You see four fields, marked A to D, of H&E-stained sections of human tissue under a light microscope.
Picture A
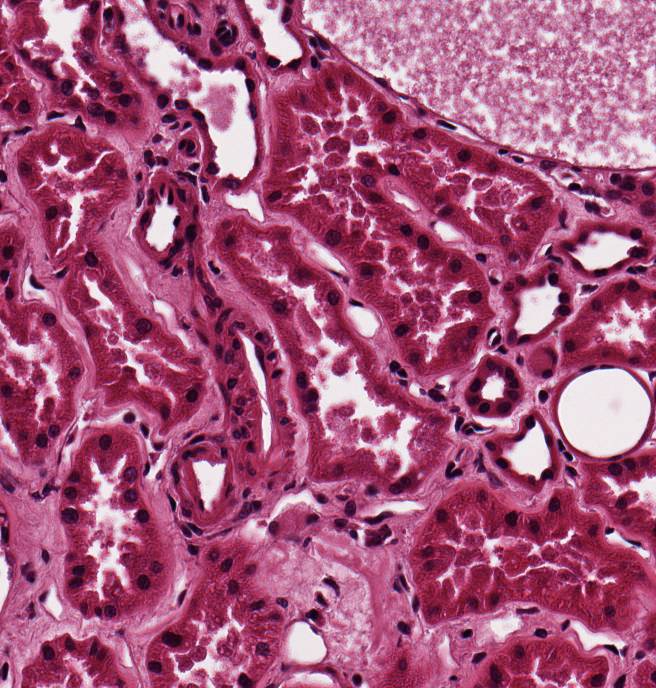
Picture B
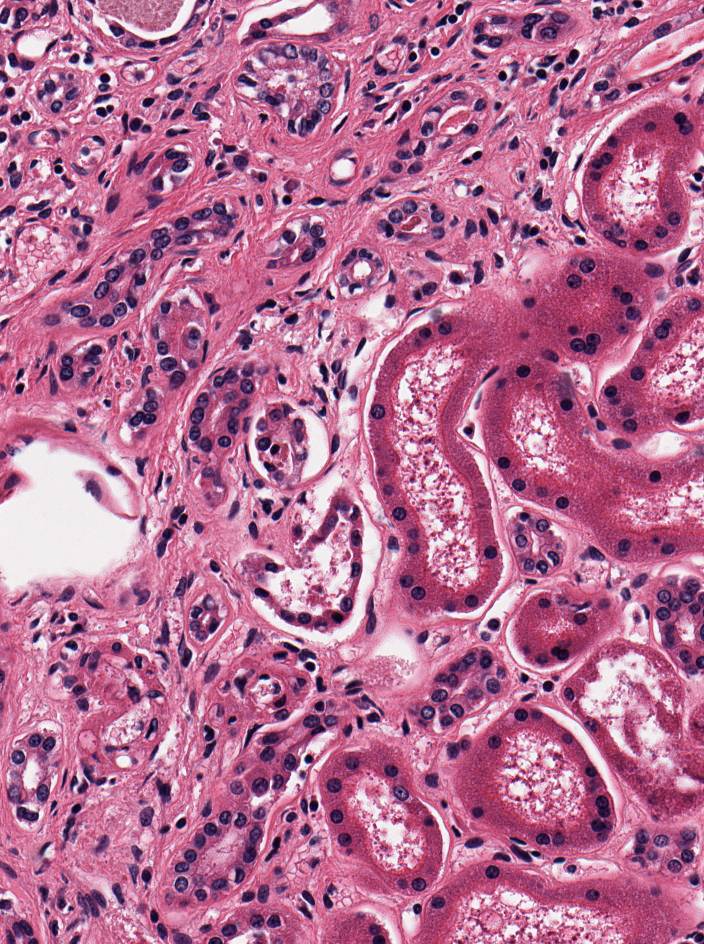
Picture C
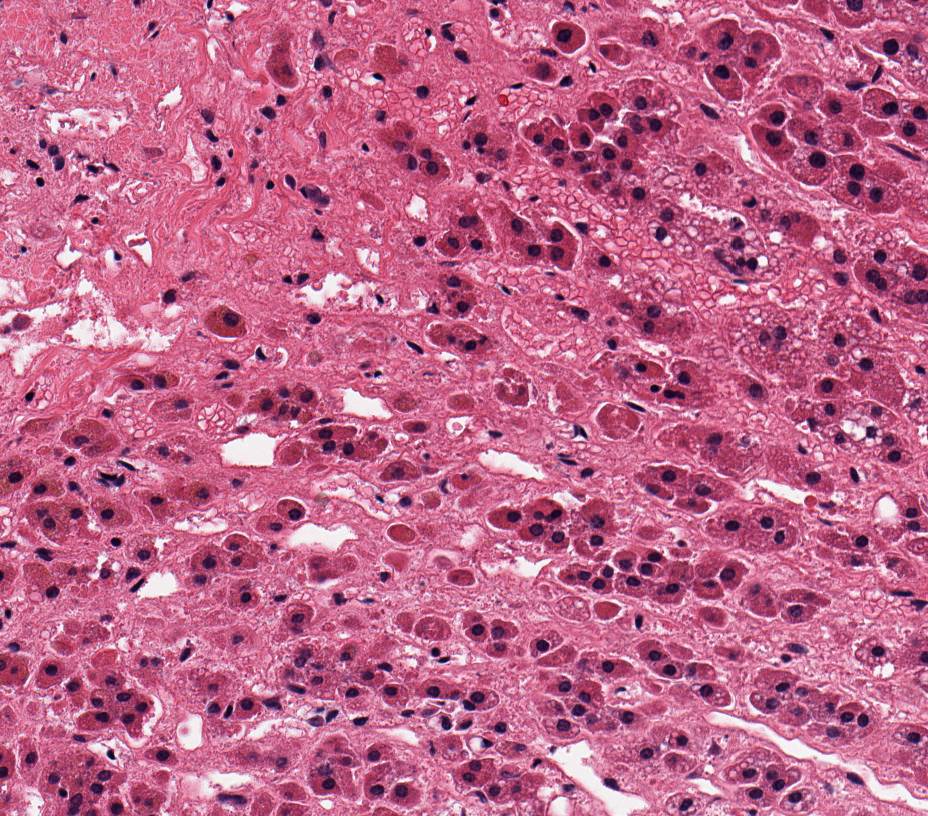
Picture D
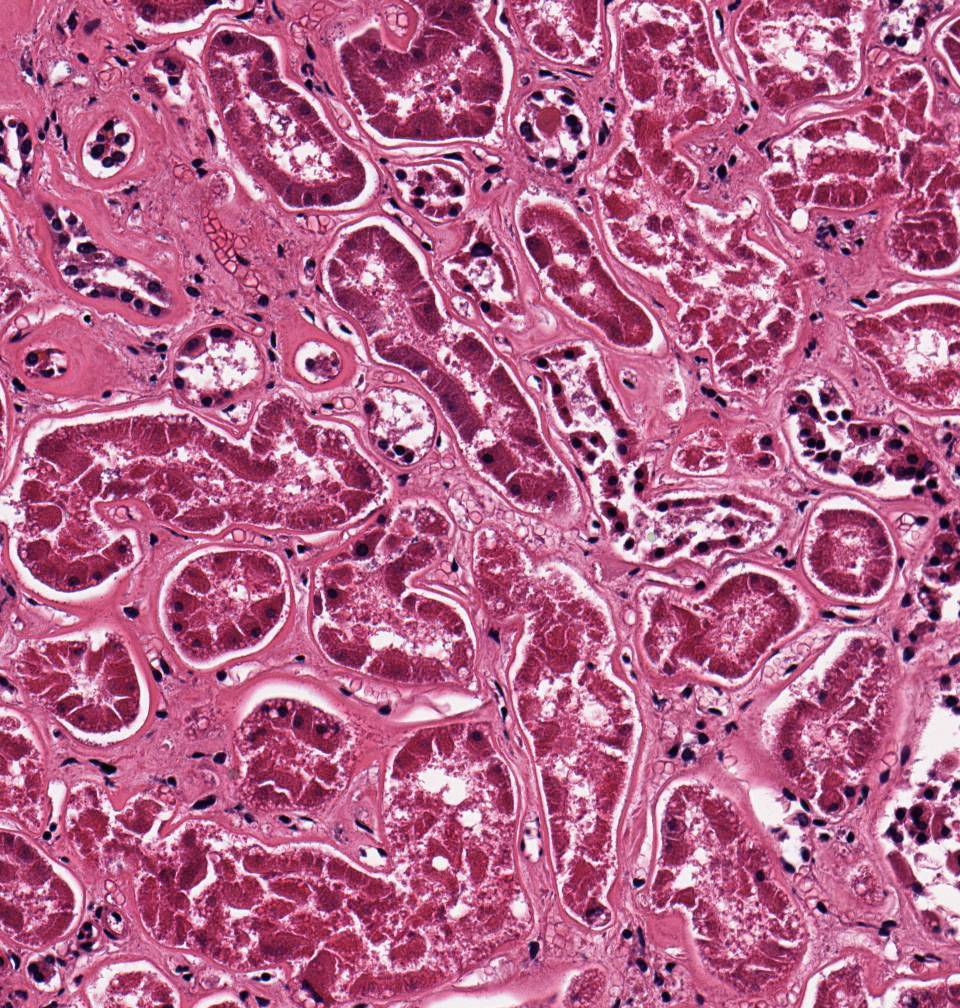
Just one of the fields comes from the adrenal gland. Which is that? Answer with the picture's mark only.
C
